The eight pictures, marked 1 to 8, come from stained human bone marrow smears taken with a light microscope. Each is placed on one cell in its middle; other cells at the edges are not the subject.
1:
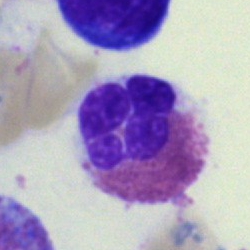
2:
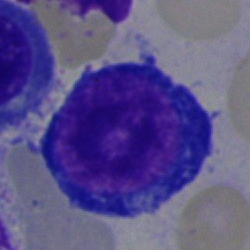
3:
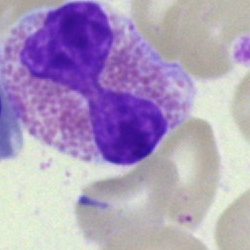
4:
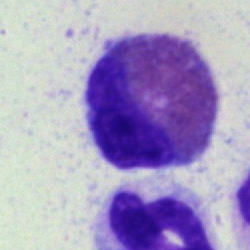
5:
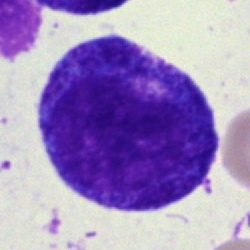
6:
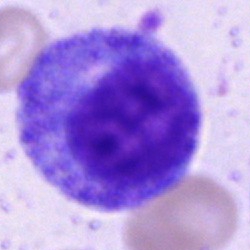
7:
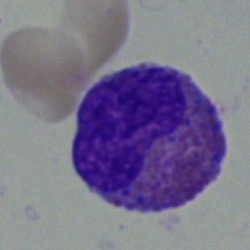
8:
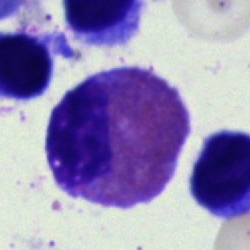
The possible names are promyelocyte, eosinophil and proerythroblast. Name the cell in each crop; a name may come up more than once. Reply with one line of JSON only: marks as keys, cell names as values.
{"1": "eosinophil", "2": "proerythroblast", "3": "eosinophil", "4": "eosinophil", "5": "promyelocyte", "6": "promyelocyte", "7": "eosinophil", "8": "eosinophil"}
